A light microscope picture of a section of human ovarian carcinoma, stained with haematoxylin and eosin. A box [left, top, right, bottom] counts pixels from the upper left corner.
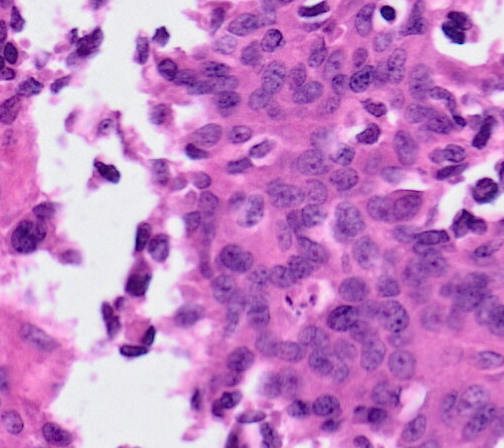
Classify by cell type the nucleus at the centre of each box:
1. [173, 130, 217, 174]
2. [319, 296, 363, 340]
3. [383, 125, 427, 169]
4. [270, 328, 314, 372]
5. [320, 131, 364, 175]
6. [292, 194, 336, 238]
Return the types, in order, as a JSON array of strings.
["carcinoma cell", "carcinoma cell", "carcinoma cell", "carcinoma cell", "macrophage or monocyte", "macrophage or monocyte"]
